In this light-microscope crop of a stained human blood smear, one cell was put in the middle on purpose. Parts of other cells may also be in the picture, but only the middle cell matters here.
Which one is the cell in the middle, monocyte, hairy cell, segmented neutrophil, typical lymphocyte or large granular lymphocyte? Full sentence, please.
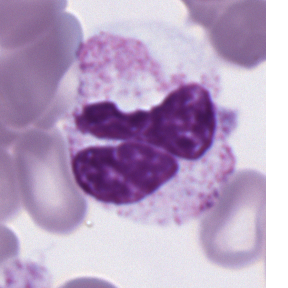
The cell at the middle of the crop is recognized as a segmented neutrophil.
